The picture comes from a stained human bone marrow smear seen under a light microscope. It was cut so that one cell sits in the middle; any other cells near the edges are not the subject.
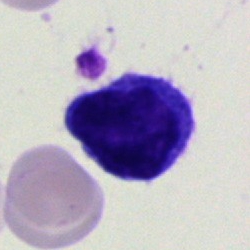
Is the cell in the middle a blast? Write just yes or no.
no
